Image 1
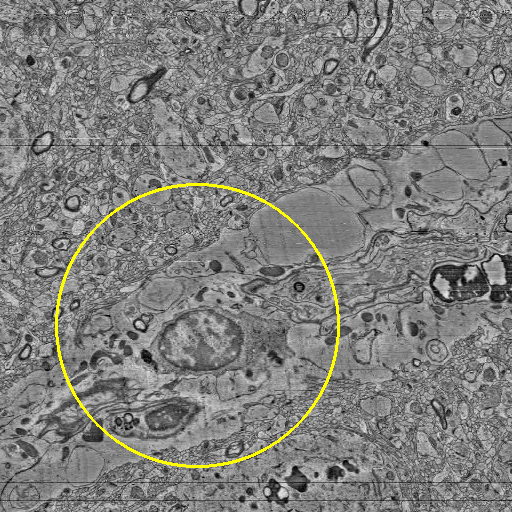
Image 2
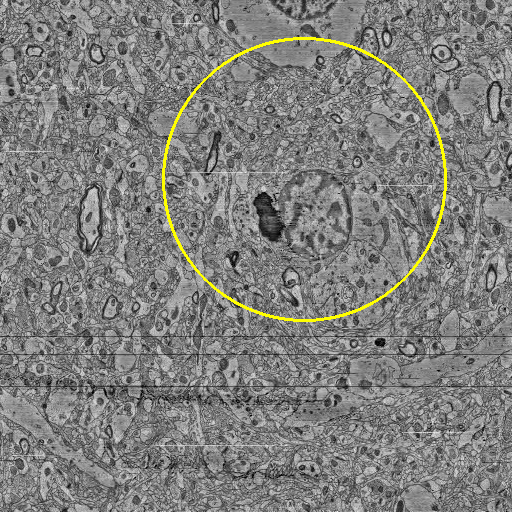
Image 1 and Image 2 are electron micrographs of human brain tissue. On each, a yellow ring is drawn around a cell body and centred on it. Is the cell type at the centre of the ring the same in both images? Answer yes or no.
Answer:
yes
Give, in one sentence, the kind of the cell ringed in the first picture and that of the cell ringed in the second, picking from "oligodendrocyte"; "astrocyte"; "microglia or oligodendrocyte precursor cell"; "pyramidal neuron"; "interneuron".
Both rings mark an oligodendrocyte, one in each picture.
